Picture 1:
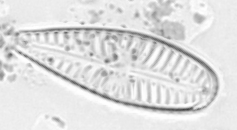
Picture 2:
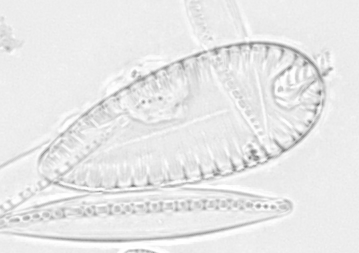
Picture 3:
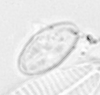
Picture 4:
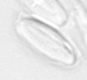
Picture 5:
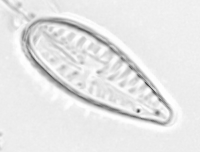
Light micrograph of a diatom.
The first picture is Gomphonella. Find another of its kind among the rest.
Picture 5.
